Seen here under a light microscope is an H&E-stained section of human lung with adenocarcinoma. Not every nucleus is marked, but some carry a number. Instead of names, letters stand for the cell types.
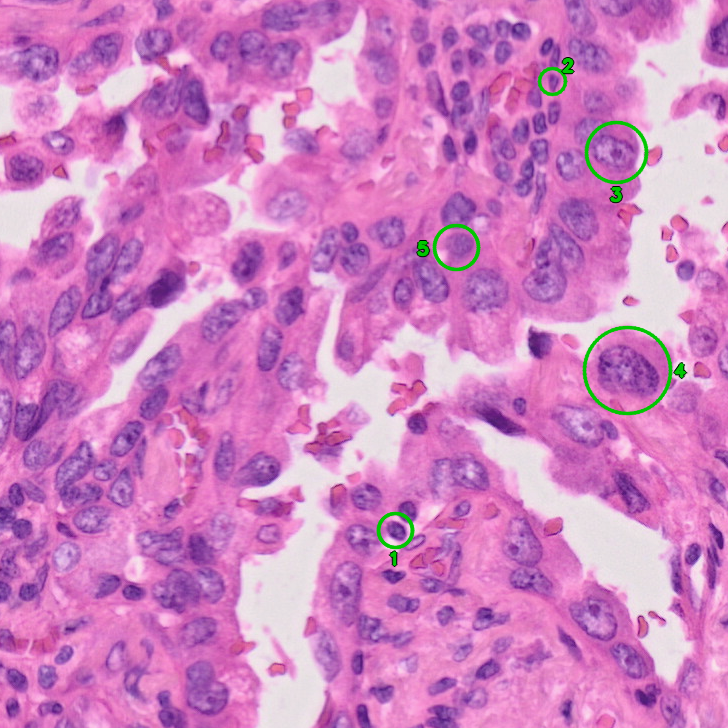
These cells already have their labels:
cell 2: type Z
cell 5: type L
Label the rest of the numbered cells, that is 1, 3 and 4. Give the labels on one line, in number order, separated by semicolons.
type Z; type L; type L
